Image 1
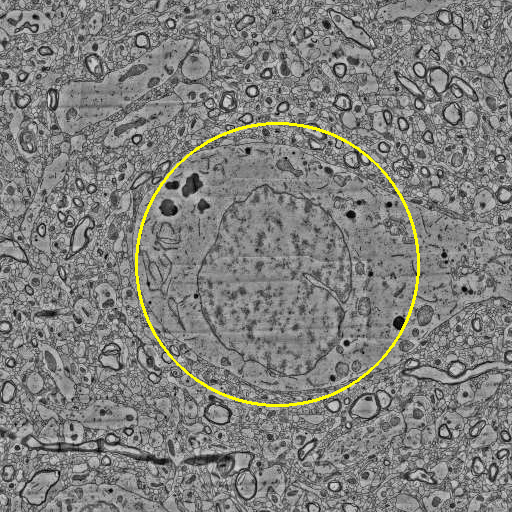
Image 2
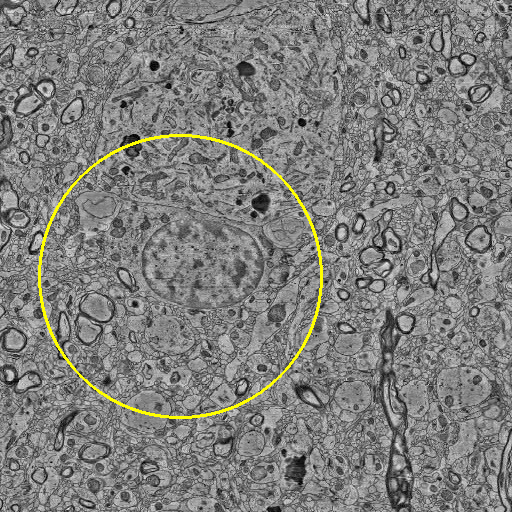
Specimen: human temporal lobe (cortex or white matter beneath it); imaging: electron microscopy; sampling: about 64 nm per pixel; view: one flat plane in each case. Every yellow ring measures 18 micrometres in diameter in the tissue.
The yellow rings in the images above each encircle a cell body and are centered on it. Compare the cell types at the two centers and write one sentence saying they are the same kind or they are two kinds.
Taken together, the two cells at the ring centers are two kinds.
